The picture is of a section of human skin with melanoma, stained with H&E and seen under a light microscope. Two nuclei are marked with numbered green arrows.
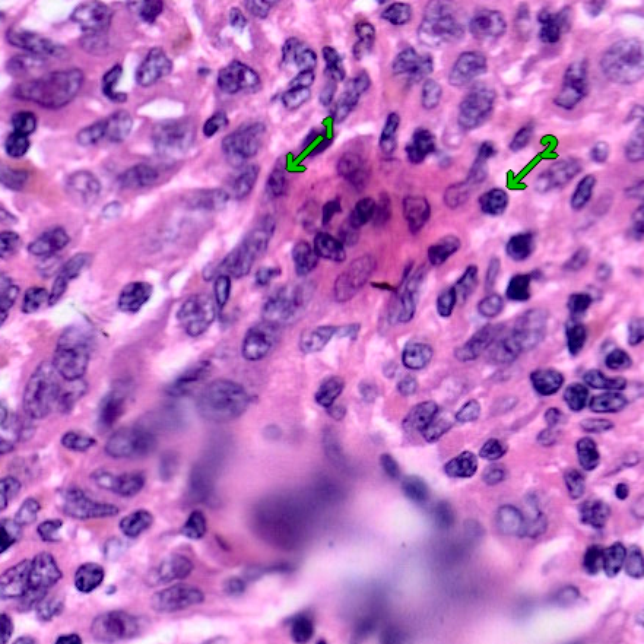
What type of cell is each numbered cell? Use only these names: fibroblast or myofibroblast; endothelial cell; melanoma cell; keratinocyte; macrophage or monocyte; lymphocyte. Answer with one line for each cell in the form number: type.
1: melanoma cell
2: lymphocyte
